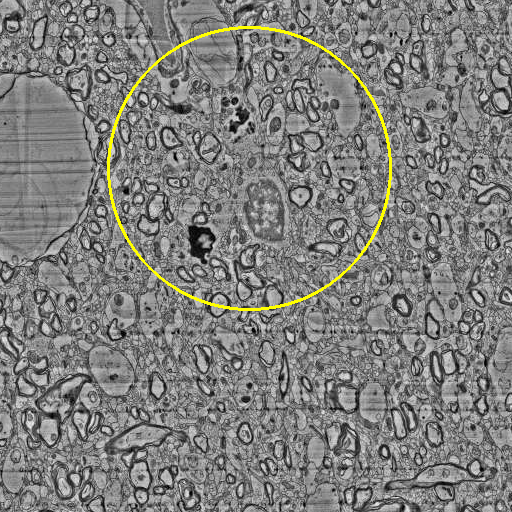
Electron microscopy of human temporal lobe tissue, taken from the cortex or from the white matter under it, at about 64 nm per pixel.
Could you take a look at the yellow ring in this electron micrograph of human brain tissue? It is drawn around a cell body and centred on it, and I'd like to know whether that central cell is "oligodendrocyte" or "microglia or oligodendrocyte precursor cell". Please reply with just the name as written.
oligodendrocyte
